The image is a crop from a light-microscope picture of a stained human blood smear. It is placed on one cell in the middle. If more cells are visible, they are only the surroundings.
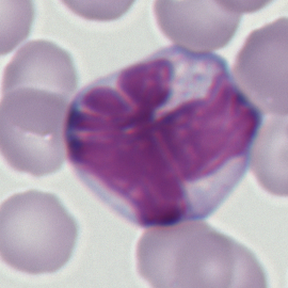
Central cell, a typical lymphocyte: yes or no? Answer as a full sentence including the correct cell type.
No, the middle cell is actually a large granular lymphocyte rather than a typical lymphocyte.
